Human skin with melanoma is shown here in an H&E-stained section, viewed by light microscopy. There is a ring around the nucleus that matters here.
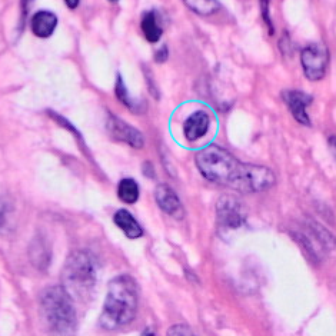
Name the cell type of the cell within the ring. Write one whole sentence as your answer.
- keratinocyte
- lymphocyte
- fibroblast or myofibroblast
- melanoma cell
Histopathologically, the cell within the ring is a lymphocyte.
